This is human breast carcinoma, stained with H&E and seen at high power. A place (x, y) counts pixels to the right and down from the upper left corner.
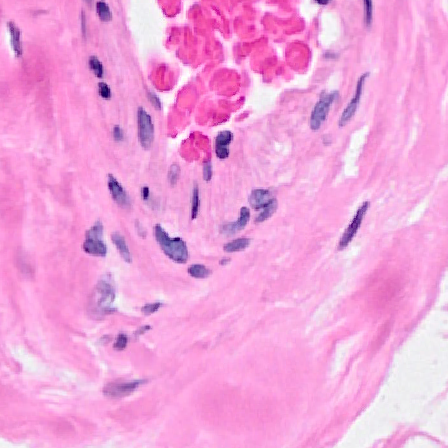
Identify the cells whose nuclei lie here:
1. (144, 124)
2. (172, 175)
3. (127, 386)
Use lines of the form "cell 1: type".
cell 1: endothelial cell
cell 2: endothelial cell
cell 3: fibroblast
